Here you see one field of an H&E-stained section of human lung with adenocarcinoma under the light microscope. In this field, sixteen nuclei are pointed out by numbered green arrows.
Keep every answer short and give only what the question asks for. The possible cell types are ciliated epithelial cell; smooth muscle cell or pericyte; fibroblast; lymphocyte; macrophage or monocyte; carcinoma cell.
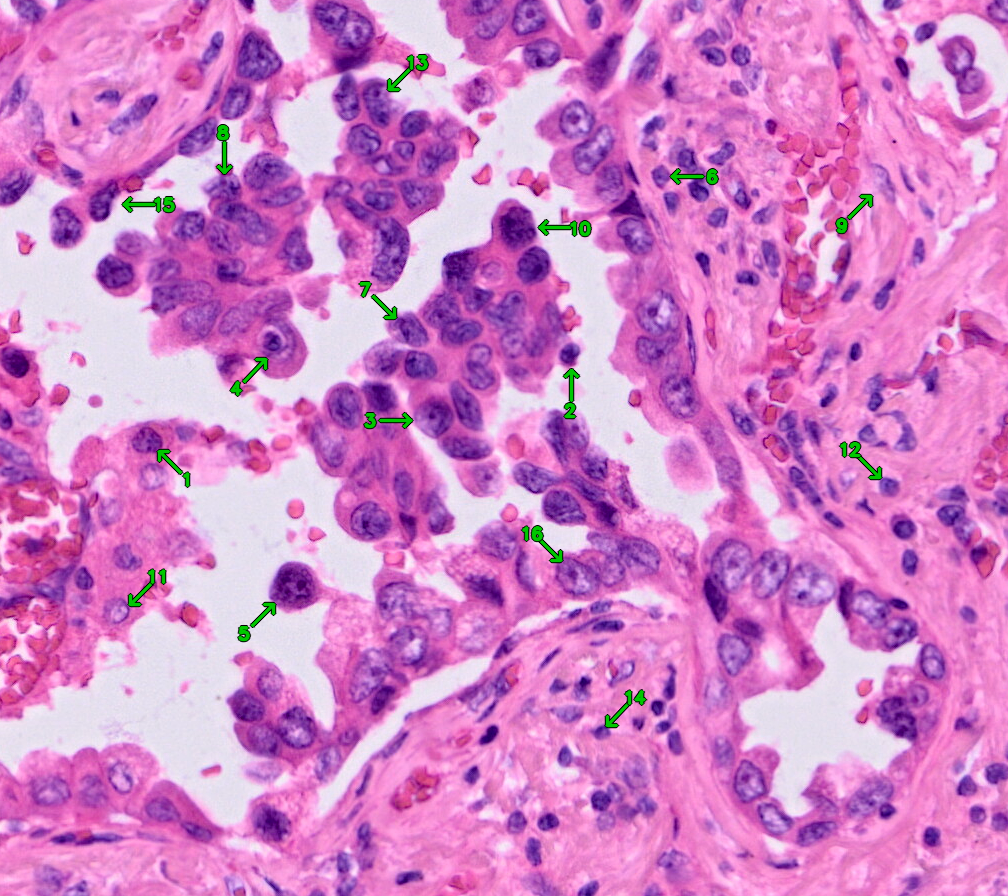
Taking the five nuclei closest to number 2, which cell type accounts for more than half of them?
carcinoma cell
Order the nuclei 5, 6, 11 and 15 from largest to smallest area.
5, 15, 11, 6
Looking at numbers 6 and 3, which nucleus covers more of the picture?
3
